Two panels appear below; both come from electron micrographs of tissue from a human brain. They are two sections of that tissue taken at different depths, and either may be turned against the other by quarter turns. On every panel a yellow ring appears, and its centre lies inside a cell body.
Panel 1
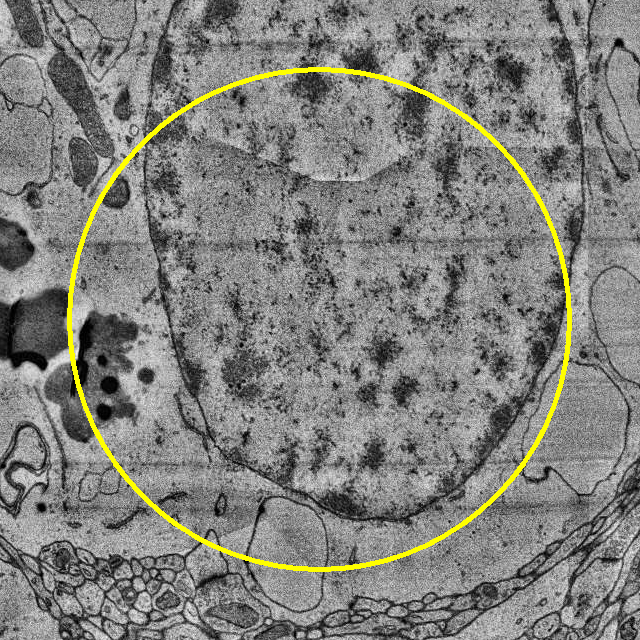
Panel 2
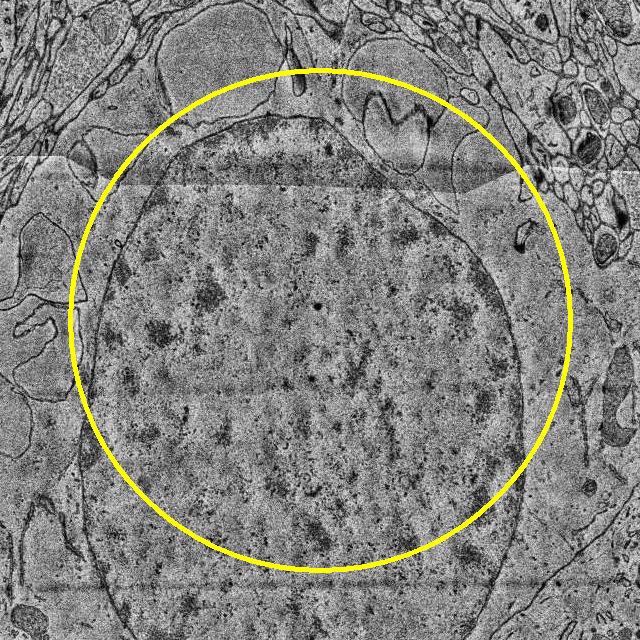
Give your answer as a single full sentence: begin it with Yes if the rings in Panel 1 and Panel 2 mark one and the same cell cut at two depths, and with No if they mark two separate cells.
Yes, the second ring marks the same cell as the first.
